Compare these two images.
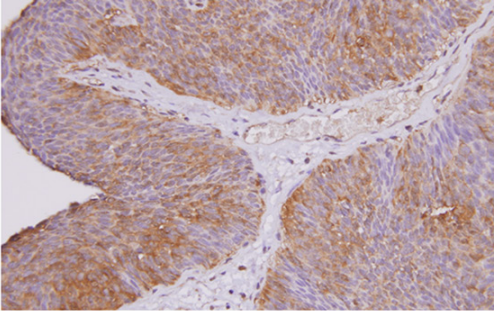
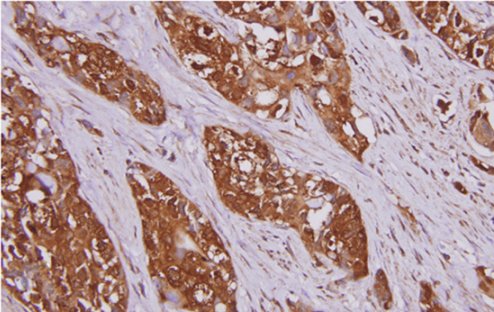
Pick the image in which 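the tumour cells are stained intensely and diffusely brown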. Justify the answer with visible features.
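The second image. Second image: nearly every tumour cell is dark brown throughout its cytoplasm.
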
